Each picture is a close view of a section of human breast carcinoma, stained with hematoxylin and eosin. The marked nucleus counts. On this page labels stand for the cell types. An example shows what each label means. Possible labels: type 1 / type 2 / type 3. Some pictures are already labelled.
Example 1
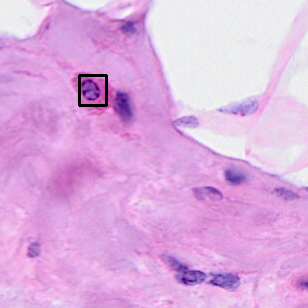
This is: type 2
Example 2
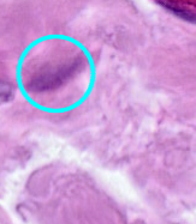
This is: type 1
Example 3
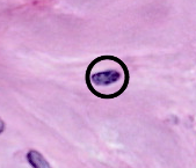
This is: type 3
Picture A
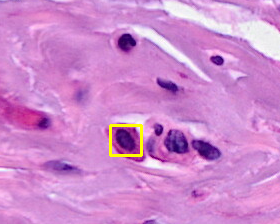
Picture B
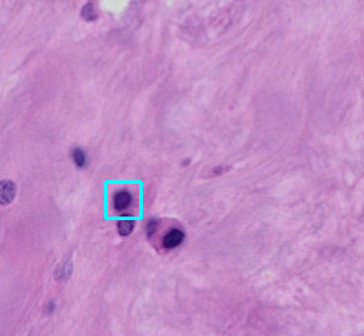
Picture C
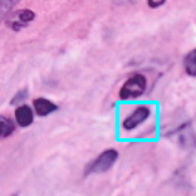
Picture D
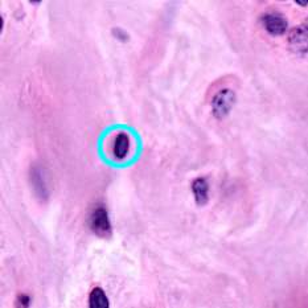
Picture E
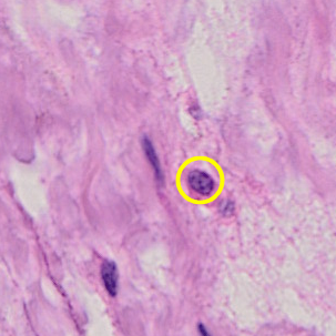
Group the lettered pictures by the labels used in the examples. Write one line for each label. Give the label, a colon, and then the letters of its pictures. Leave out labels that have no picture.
type 2: A, E
type 3: B, C, D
